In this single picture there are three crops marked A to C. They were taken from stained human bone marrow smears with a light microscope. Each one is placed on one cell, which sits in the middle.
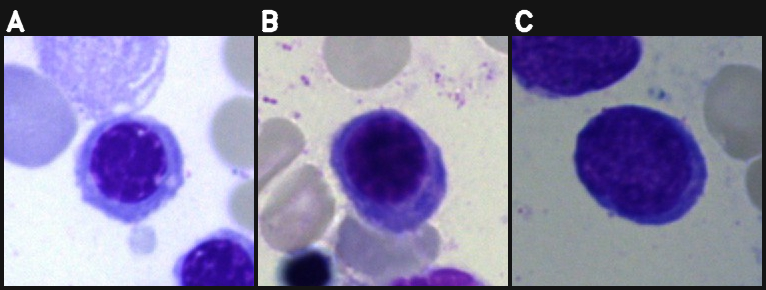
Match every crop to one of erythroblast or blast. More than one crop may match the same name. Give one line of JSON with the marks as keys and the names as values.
{"A": "erythroblast", "B": "erythroblast", "C": "blast"}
